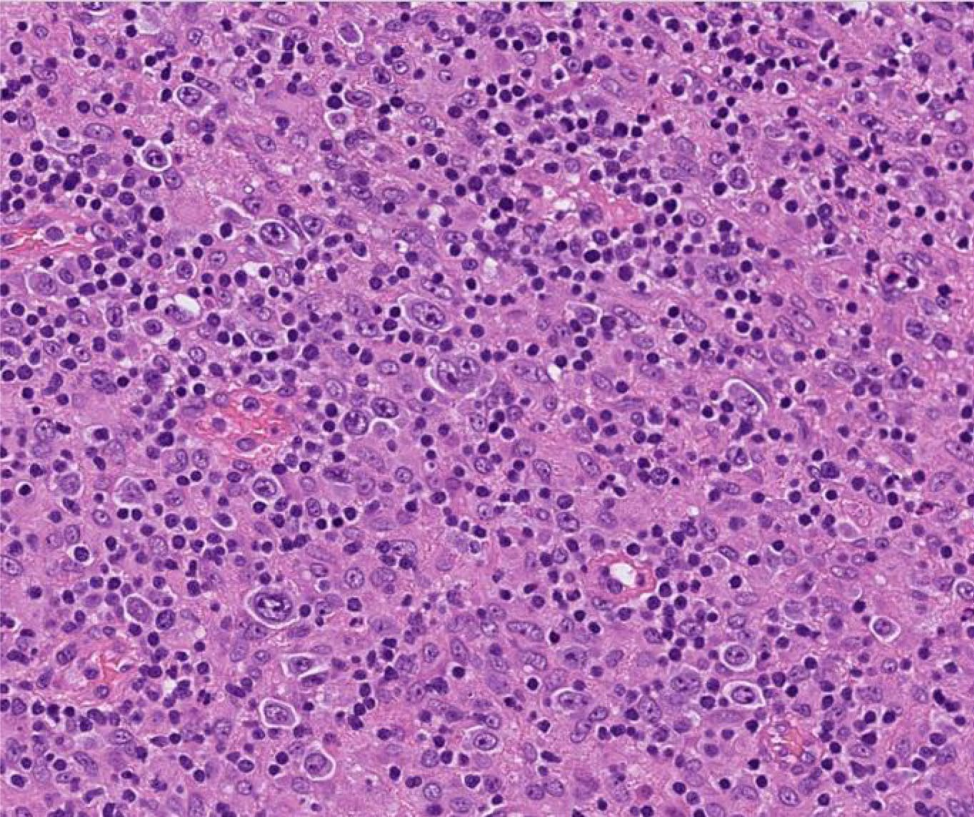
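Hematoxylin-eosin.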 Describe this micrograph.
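This is a lymphoid infiltrate in which scattered large cells lie among many small lymphocytes and histiocytes. The small lymphocytes have round, dark, dense nuclei with scant cytoplasm and crowd the whole field. Dispersed singly between them are much larger cells with oval, vesicular nuclei, open chromatin, distinct nucleoli and a rim of cytoplasm, some with a clear halo around them. Histiocytes with pale, oval nuclei and ample pink cytoplasm are mixed throughout. The large cells do not form sheets or clusters; they remain isolated within the small-cell background. Small vessels with red blood cells are scattered through the field.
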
